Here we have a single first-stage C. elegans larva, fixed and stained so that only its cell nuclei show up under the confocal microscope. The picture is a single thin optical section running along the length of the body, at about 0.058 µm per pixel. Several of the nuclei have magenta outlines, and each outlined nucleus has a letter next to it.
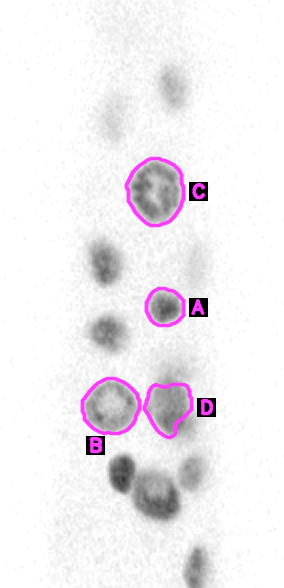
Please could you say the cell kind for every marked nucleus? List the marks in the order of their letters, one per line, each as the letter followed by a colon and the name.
A: neuron
B: hypodermal cell (hyp)
C: seam cell
D: P cell (ventral epidermal blast cell)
